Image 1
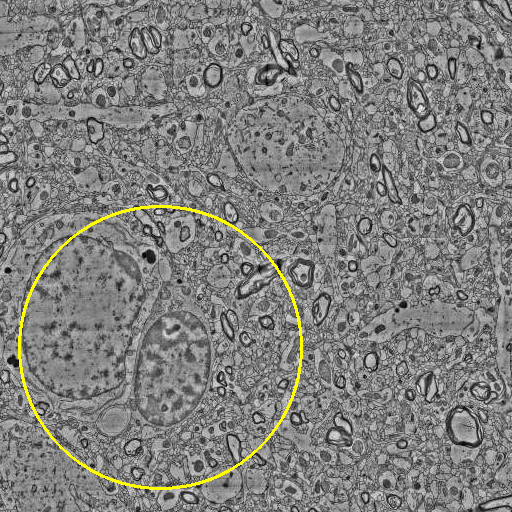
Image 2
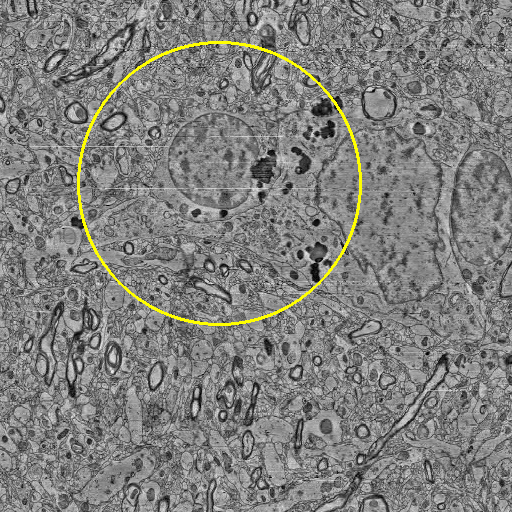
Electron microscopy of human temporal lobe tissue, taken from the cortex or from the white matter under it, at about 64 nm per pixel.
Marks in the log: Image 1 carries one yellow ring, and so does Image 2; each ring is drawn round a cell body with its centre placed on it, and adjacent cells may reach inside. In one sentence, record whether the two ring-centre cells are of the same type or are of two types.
The two cells at the ring centres, one in each image, are of the same type.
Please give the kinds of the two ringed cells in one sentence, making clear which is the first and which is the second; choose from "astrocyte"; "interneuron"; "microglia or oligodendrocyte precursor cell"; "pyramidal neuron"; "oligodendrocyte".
Each of the two rings is centred on an oligodendrocyte.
